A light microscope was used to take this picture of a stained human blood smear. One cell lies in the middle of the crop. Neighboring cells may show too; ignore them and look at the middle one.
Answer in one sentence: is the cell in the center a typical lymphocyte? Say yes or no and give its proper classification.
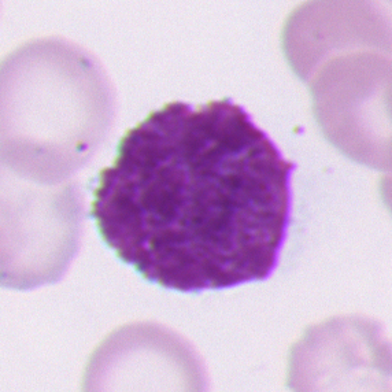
No, it is a smudge cell, not a typical lymphocyte, that lies at the centre of the crop.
